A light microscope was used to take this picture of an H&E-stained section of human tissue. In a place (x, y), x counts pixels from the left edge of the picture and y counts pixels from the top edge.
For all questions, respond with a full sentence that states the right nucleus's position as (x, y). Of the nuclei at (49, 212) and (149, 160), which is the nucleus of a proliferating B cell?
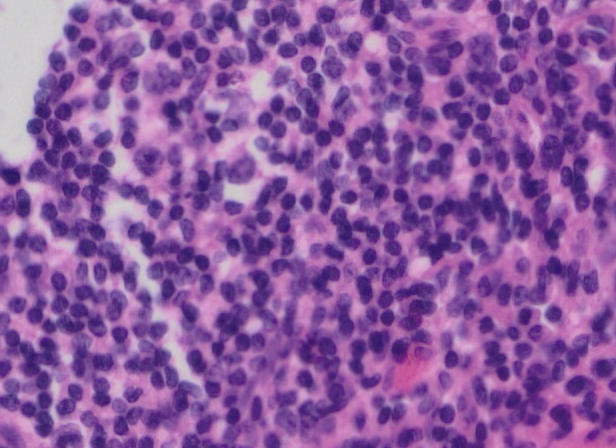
The nucleus at (149, 160) is the member of the pair belonging to a proliferating B cell.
